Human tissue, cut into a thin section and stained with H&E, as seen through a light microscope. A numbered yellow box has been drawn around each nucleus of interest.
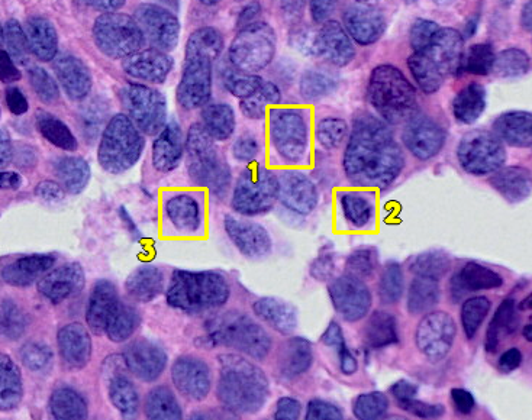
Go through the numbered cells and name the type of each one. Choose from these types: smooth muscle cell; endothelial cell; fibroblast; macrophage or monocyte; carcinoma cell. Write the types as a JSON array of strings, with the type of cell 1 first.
["carcinoma cell", "macrophage or monocyte", "macrophage or monocyte"]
